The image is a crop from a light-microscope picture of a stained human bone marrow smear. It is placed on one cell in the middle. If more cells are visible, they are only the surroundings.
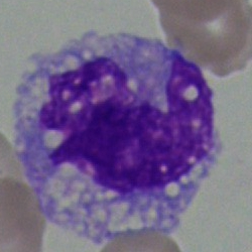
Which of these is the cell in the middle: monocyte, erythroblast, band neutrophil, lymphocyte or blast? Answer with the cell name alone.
monocyte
